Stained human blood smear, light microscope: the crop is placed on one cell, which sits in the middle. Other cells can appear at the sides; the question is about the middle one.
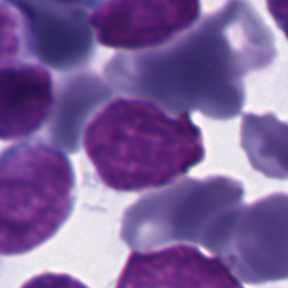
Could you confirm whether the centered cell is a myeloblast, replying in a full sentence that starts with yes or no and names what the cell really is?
No, the cell at the center of this crop is a smudge cell instead of a myeloblast.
